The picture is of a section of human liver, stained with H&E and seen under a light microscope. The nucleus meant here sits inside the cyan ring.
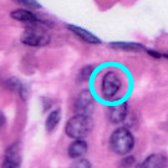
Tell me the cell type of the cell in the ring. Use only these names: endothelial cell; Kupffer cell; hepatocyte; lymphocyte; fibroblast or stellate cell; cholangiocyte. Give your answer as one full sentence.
With respect to cell type, the cell in the ring is a cholangiocyte.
